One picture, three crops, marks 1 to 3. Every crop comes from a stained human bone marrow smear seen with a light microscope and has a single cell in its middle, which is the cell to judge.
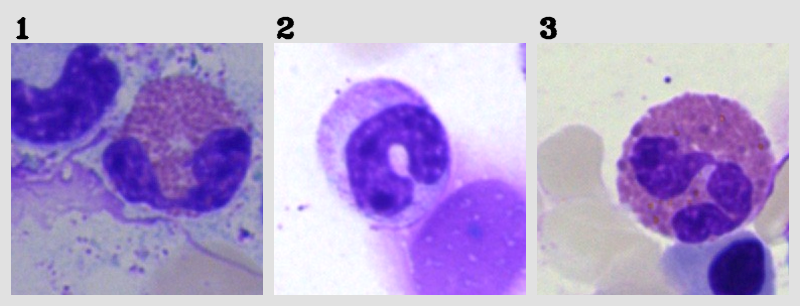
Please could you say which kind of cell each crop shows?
1: eosinophil
2: band neutrophil
3: eosinophil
